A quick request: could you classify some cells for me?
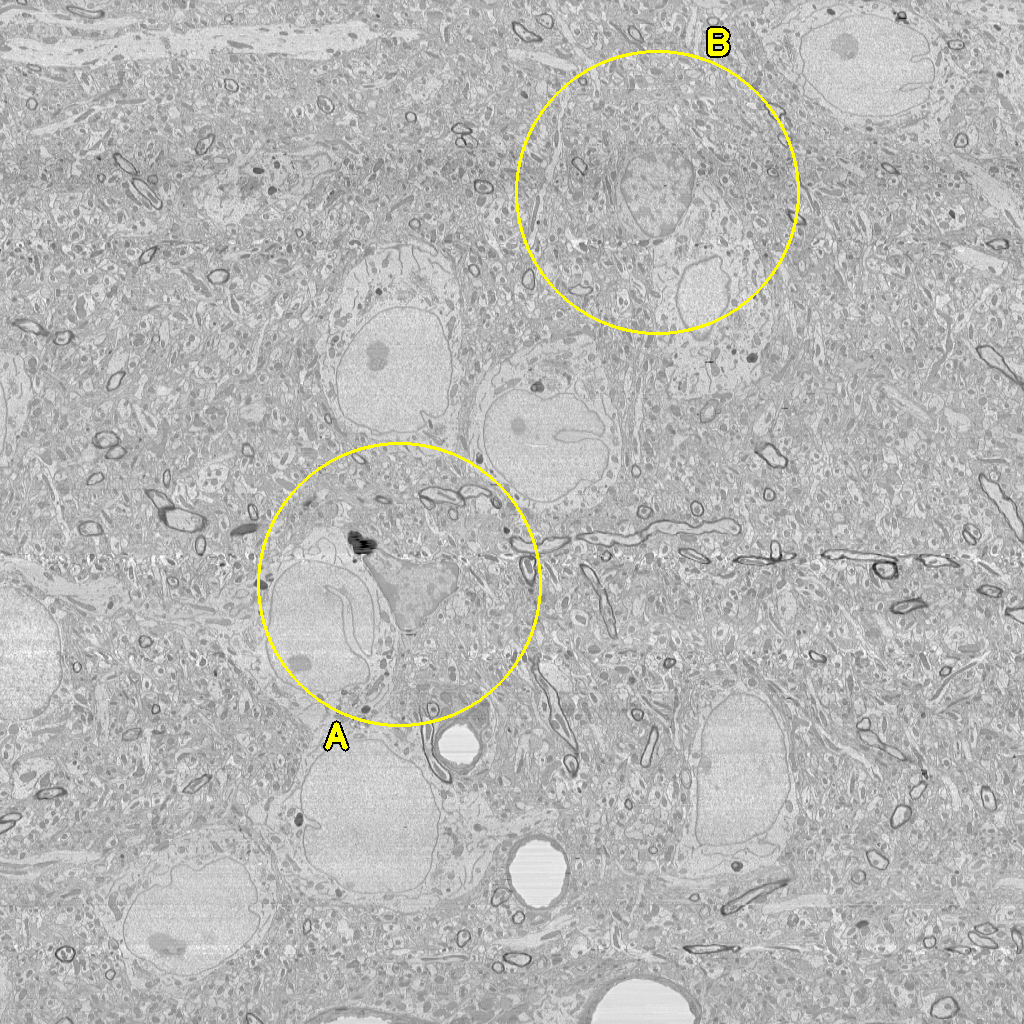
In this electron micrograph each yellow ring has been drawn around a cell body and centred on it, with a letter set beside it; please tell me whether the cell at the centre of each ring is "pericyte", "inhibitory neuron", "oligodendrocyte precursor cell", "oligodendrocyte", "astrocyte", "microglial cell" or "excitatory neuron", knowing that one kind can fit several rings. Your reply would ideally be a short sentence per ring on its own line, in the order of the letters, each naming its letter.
Ring A has a microglial cell at its centre.
Ring B has an oligodendrocyte at its centre.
